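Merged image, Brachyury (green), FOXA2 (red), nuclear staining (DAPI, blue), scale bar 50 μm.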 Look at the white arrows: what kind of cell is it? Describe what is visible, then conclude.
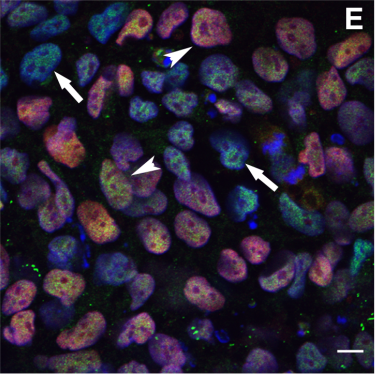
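The nuclei at the arrows are green and blue without red. Such nuclei are fewer than the red-yellow ones. The answer: mesodermal component.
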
